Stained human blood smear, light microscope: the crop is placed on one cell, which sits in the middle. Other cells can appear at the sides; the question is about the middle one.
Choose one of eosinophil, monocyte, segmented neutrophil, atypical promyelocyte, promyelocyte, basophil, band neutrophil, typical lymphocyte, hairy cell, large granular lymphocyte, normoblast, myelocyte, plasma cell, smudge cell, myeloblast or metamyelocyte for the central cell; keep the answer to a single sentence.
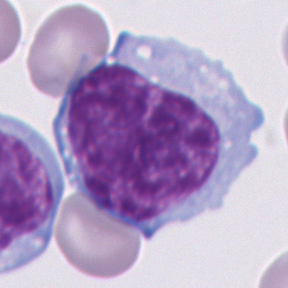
The cell in the middle of the field of view is a myeloblast.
